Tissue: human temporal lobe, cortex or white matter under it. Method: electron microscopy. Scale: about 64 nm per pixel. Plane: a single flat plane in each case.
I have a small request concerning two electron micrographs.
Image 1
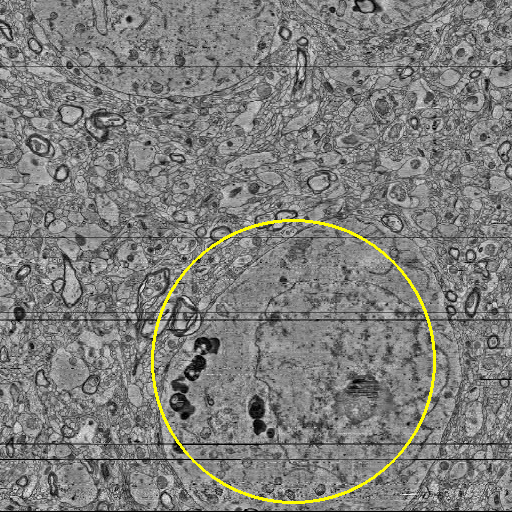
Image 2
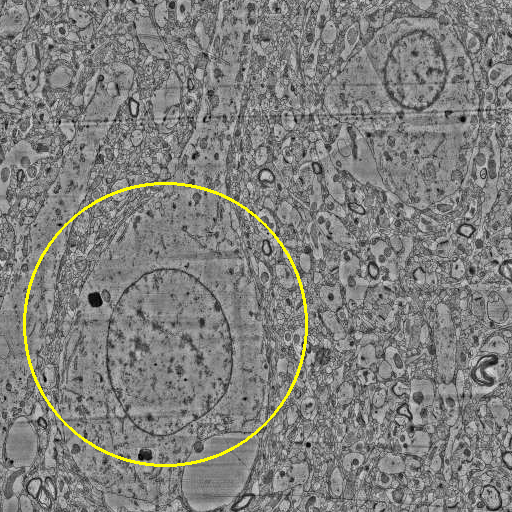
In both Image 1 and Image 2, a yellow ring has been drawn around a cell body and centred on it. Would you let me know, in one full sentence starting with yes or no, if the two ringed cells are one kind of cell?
Yes, the cells ringed in Image 1 and Image 2 are one kind of cell.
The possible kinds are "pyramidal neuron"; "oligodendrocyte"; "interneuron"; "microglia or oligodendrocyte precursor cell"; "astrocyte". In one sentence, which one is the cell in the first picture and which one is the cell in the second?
The second cell is a pyramidal neuron, just as the first is.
